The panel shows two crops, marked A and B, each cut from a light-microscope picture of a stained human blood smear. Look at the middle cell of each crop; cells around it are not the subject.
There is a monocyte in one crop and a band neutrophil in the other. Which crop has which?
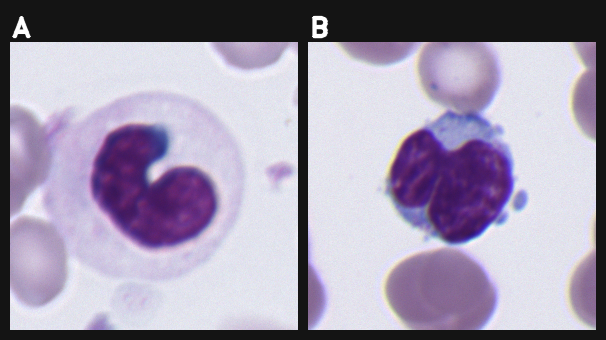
A: band neutrophil
B: monocyte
